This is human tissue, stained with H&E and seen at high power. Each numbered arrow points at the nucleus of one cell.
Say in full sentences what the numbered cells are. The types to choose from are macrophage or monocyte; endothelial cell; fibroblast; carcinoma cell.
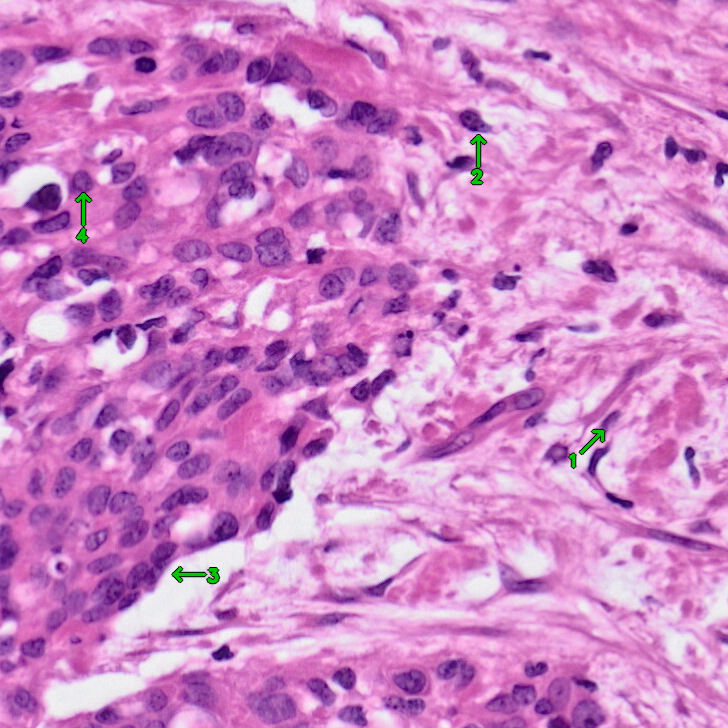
Cell 1 is a fibroblast, cell 2 is a macrophage or monocyte, cell 3 is a carcinoma cell and cell 4 is a carcinoma cell.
